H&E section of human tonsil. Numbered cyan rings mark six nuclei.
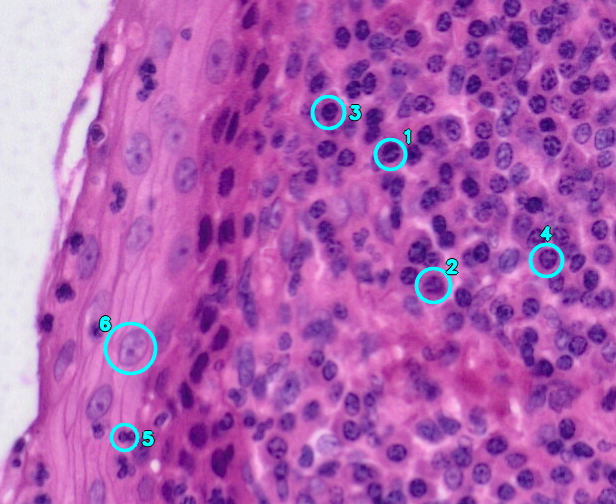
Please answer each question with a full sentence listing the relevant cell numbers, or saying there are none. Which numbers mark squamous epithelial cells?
Cells 5 and 6 share one type; they are squamous epithelial cells.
